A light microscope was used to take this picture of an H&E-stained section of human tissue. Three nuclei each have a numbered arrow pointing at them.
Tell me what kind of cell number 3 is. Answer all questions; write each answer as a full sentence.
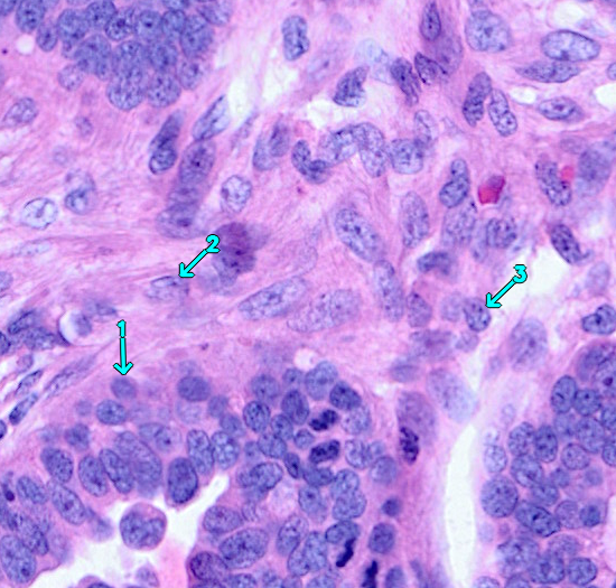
As for number 3, that cell is a macrophage or monocyte.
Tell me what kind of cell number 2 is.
The cell that carries the label 2 is a fibroblast.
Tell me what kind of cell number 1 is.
Of the numbered cells, the one labelled 1 is a carcinoma cell.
